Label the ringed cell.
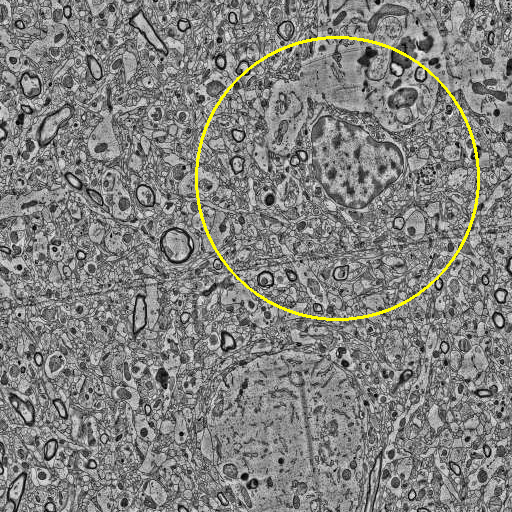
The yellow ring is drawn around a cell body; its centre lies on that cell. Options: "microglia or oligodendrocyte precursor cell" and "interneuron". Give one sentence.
The ringed cell is a microglial cell or oligodendrocyte precursor cell.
